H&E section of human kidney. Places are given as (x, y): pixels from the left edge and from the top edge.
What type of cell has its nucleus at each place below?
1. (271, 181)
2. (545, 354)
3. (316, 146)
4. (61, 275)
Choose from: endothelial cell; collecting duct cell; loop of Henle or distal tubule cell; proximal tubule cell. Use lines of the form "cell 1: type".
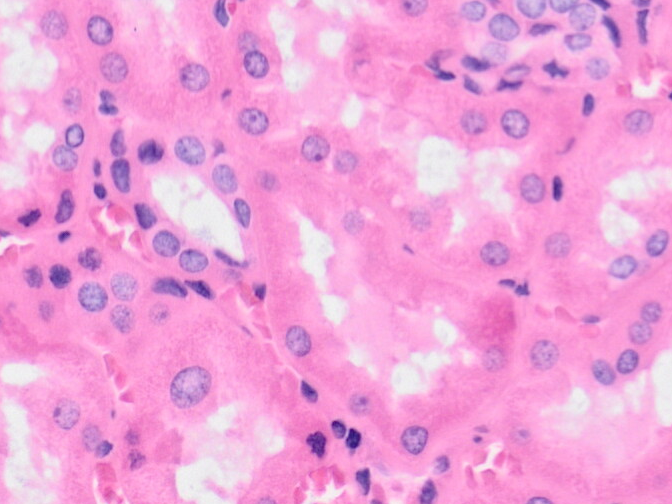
cell 1: proximal tubule cell
cell 2: proximal tubule cell
cell 3: proximal tubule cell
cell 4: loop of Henle or distal tubule cell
